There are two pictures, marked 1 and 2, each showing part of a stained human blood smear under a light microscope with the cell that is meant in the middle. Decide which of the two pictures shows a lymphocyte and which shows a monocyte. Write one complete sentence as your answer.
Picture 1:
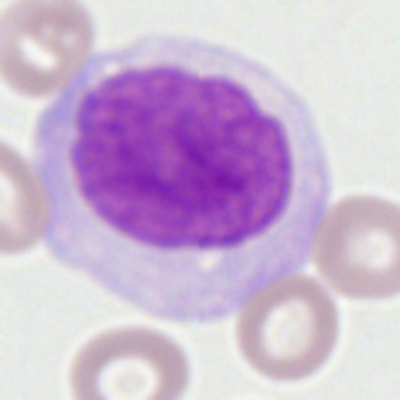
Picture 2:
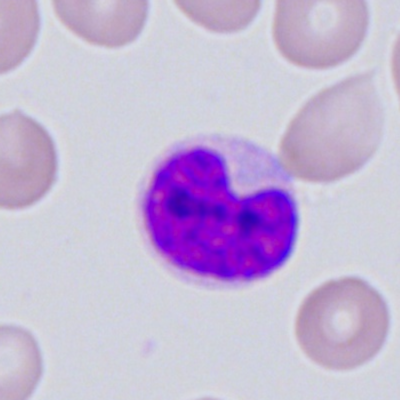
Picture 1 shows a monocyte and picture 2 shows a lymphocyte.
